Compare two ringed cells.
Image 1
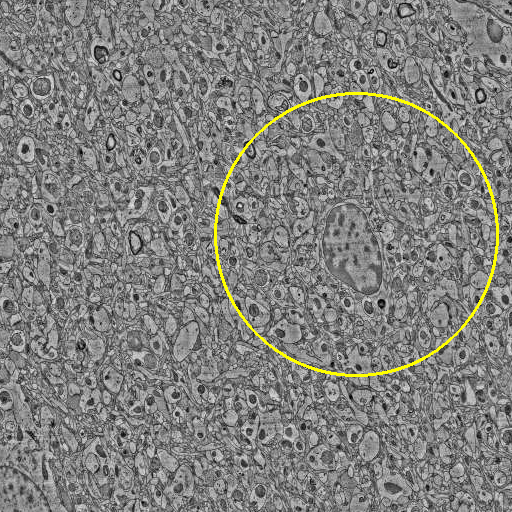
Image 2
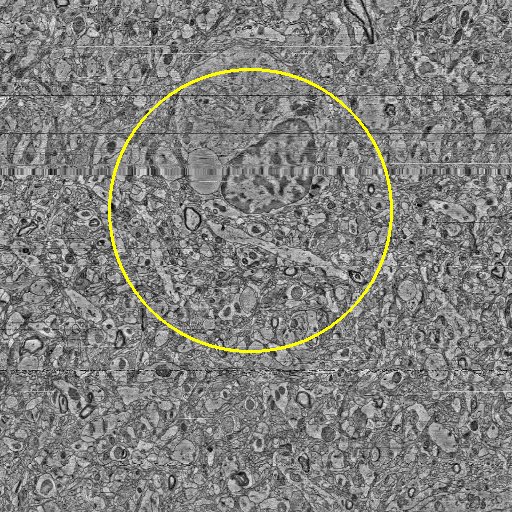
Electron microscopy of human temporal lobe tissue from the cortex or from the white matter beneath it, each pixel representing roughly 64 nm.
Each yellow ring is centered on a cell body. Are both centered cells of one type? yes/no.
yes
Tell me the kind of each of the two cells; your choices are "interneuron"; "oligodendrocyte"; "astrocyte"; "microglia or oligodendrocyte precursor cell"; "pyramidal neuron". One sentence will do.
The cell at the ring centre is a microglial cell or oligodendrocyte precursor cell in both pictures.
